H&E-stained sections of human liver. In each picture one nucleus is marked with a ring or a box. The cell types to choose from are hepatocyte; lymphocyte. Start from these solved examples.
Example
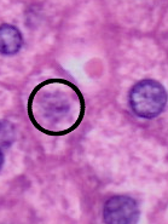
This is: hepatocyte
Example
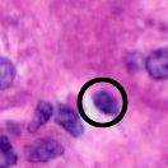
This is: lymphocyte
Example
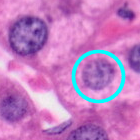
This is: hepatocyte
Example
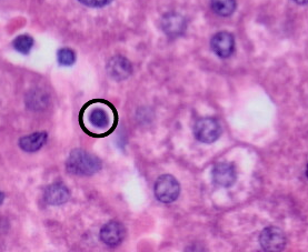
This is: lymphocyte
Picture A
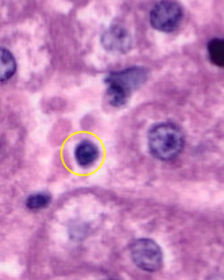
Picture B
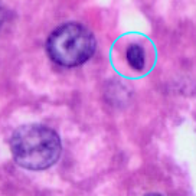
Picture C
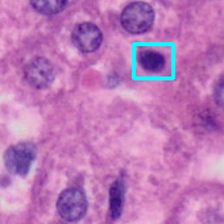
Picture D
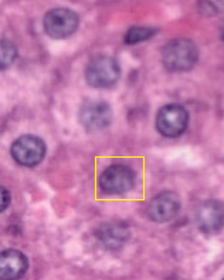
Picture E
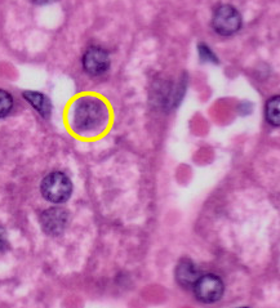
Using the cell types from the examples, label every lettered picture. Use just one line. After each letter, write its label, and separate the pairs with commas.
A lymphocyte, B lymphocyte, C lymphocyte, D hepatocyte, E hepatocyte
